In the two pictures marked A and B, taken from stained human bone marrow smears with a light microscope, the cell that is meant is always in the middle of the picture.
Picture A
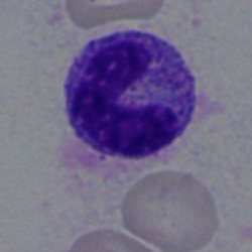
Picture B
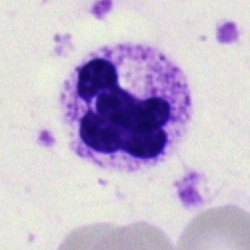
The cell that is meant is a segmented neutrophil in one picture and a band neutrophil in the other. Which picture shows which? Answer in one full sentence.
Picture A is of a band neutrophil, and picture B is of a segmented neutrophil.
